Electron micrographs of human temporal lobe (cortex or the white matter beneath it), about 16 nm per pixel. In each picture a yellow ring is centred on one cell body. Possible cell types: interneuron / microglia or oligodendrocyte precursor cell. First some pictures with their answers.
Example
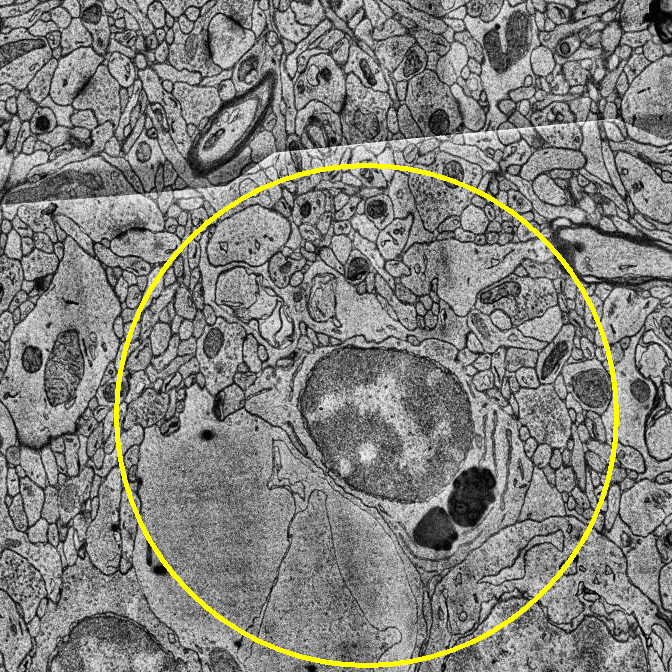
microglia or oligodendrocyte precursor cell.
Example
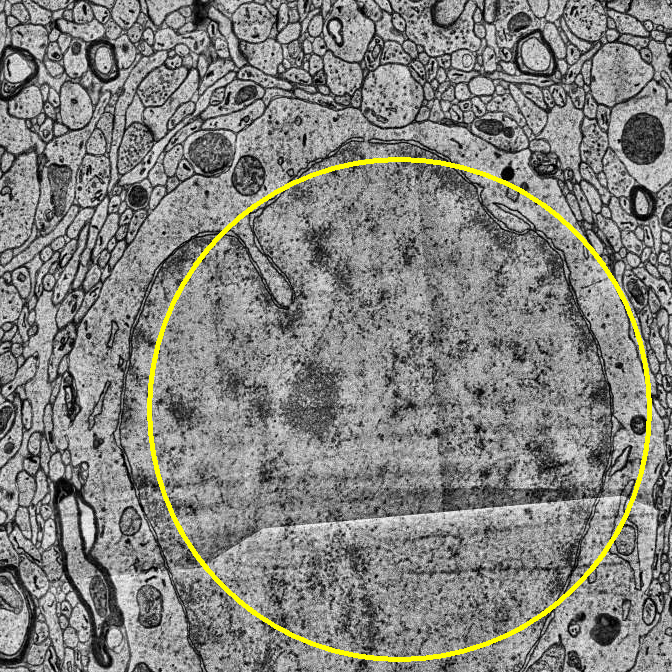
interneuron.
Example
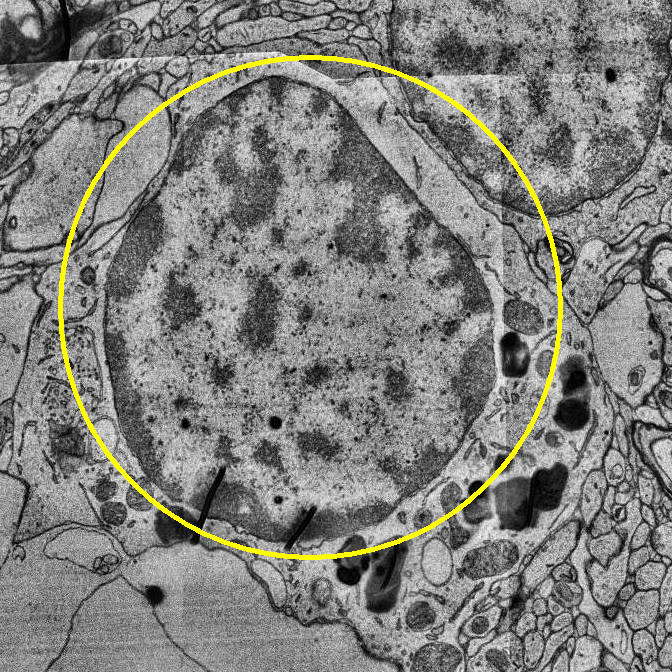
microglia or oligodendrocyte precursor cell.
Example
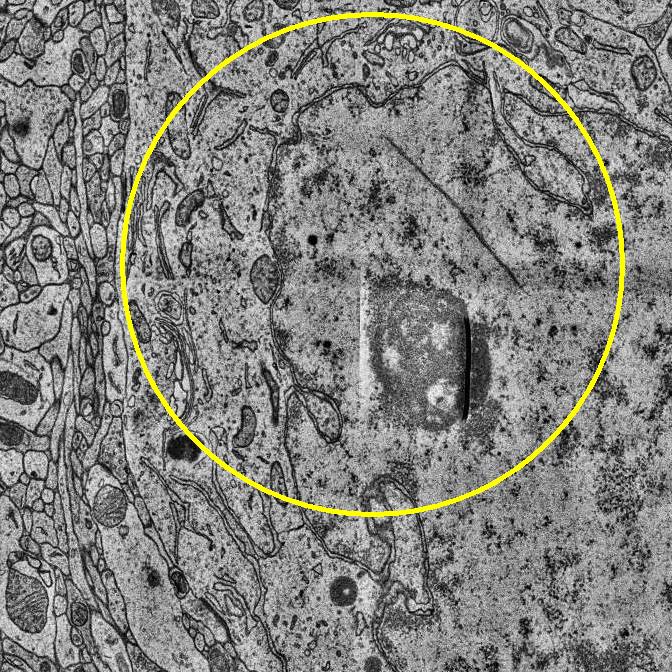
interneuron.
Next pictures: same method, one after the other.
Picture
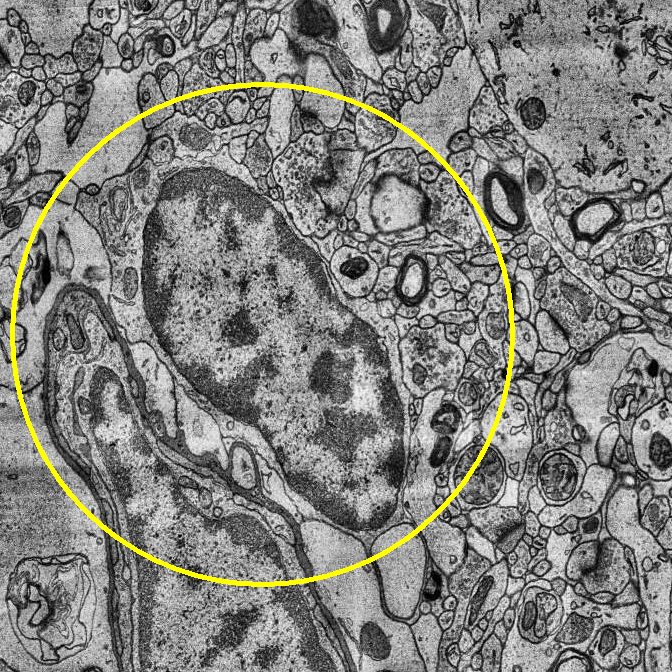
microglia or oligodendrocyte precursor cell.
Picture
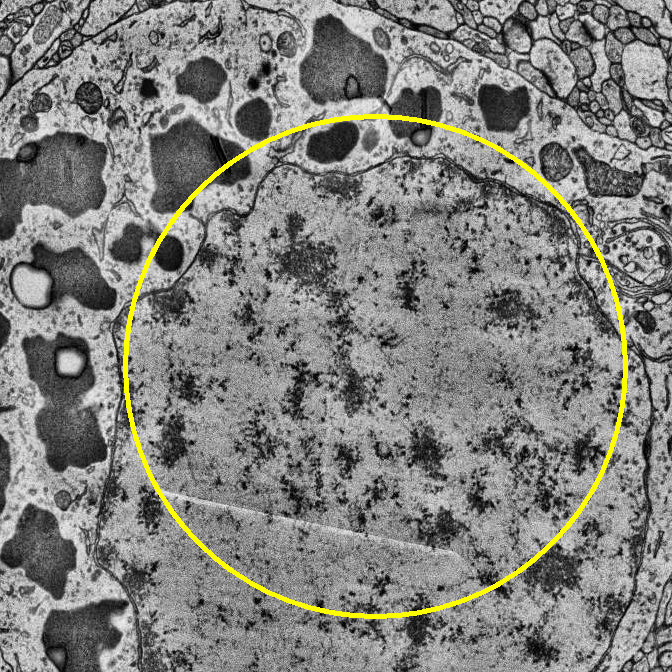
interneuron.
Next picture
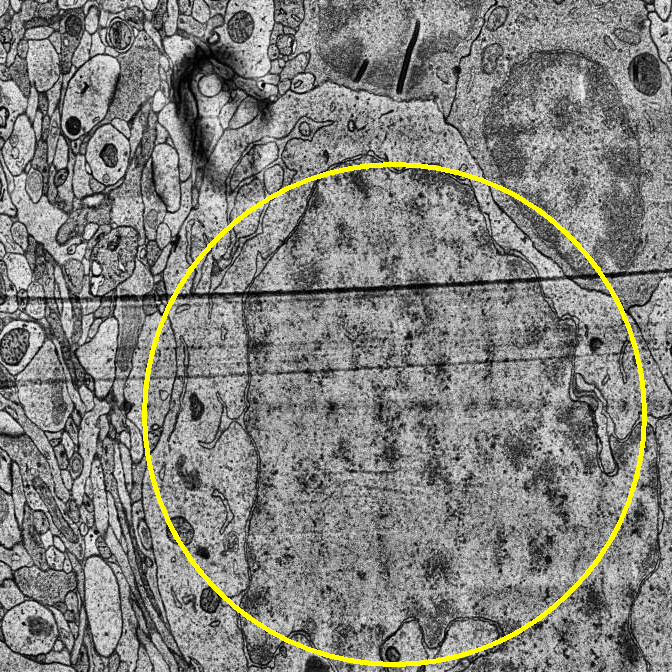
interneuron.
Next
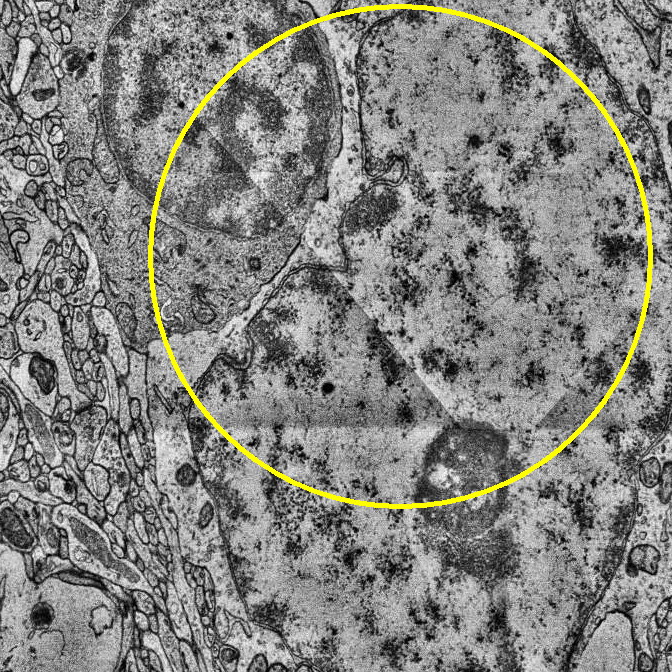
interneuron.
